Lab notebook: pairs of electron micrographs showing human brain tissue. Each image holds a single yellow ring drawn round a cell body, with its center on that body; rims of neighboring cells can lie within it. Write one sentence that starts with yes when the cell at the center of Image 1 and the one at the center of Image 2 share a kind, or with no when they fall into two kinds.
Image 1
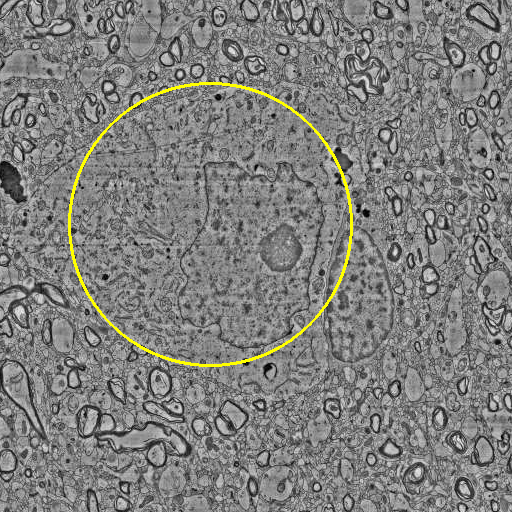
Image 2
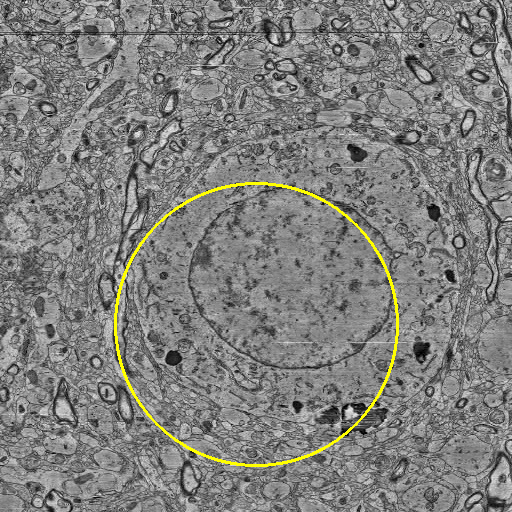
Yes, the centered cell in Image 1 and the centered cell in Image 2 are of one kind.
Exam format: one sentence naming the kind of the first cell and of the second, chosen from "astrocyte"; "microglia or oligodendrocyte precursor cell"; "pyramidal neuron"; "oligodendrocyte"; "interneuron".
Each of the two rings is centred on a pyramidal neuron.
